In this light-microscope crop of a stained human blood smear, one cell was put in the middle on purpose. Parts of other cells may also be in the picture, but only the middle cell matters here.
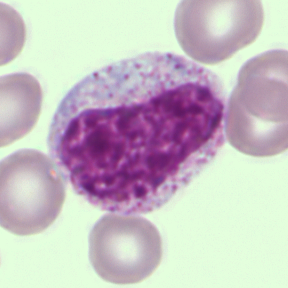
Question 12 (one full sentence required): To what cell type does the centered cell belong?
Looking at the middle of the crop, the cell there is a metamyelocyte.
